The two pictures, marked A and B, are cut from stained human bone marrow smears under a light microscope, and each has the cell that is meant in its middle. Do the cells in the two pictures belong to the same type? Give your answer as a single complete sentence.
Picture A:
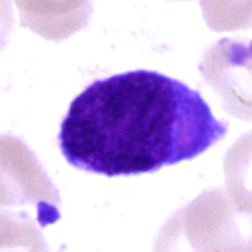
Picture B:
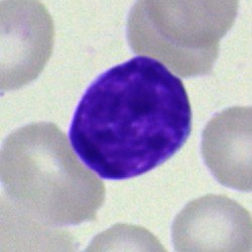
Yes, both are blasts.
